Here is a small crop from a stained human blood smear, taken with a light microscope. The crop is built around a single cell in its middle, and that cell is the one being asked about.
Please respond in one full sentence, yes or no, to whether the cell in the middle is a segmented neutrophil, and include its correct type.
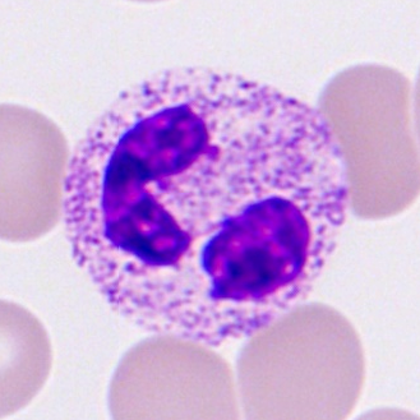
Yes, a segmented neutrophil is what the central cell is.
